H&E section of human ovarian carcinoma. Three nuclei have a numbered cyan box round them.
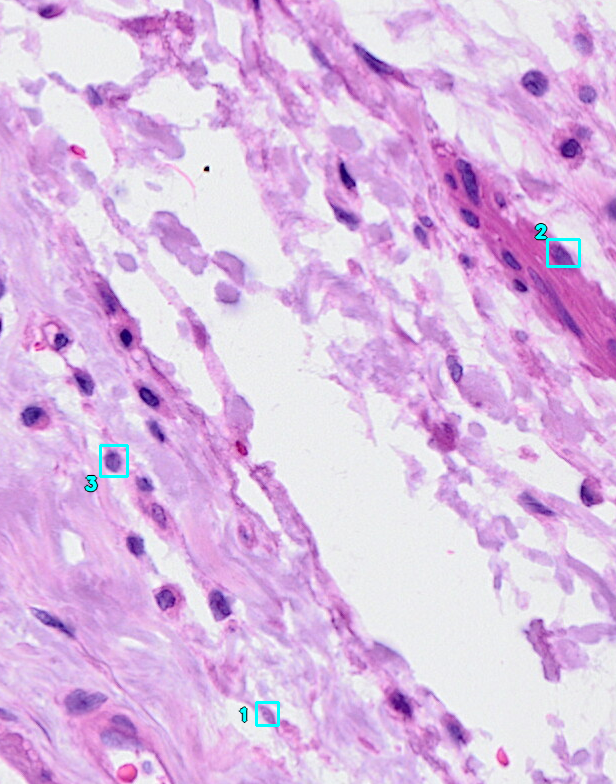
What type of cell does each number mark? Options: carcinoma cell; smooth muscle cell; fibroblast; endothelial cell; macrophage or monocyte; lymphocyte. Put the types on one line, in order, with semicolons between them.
fibroblast; smooth muscle cell; lymphocyte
